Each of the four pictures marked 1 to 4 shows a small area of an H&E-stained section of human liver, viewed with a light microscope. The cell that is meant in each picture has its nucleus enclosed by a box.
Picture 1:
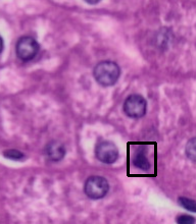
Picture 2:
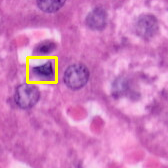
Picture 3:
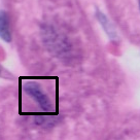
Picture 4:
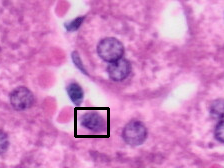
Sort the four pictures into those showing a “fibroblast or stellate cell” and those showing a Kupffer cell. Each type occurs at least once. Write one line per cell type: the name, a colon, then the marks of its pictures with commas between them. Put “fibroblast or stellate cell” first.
fibroblast or stellate cell: 1, 2, 3
Kupffer cell: 4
